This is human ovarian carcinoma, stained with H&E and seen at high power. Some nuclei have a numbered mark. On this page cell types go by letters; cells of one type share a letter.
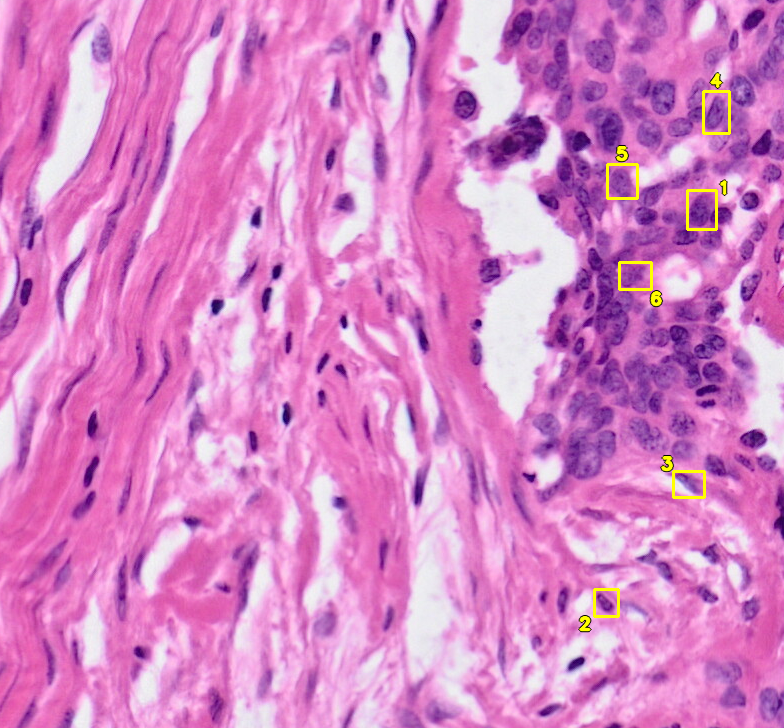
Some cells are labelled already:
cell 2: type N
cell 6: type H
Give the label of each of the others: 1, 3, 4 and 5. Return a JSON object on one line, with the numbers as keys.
{"1": "type H", "3": "type N", "4": "type H", "5": "type H"}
